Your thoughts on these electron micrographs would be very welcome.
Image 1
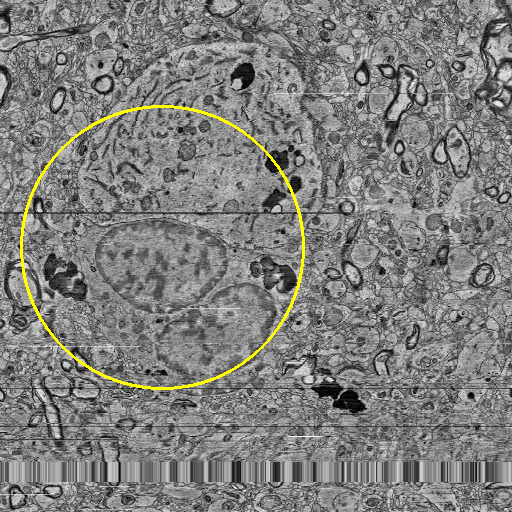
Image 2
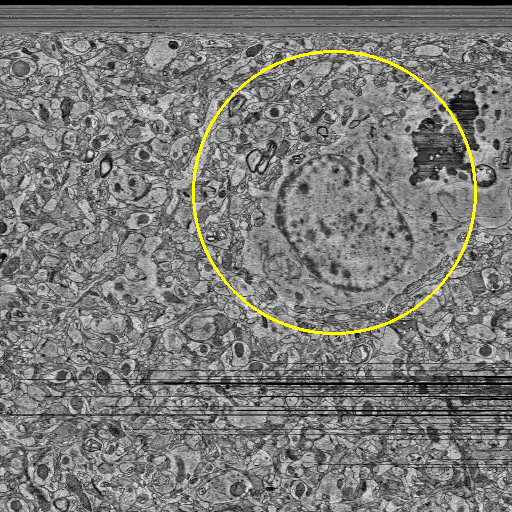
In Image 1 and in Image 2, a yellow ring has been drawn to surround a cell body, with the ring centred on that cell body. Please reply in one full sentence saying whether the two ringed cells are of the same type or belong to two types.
The ringed cells in Image 1 and Image 2 belong to two types.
